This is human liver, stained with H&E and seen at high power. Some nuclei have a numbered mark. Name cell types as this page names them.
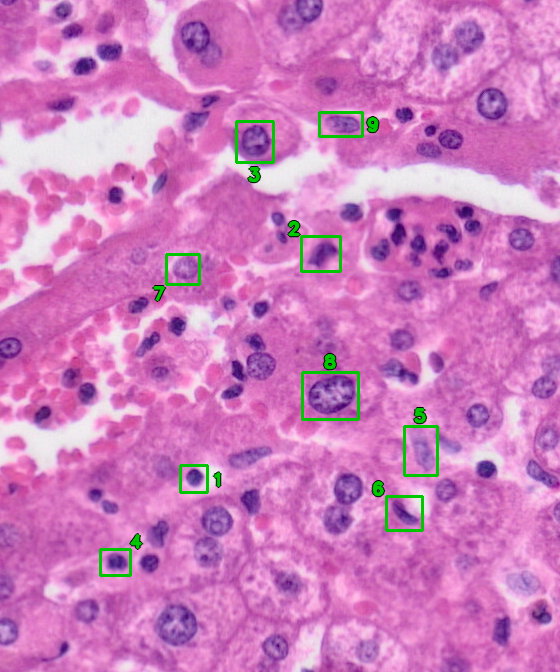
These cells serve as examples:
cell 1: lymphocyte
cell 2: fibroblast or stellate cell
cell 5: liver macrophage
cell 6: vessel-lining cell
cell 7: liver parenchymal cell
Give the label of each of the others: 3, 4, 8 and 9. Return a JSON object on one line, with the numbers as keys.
{"3": "liver parenchymal cell", "4": "lymphocyte", "8": "liver parenchymal cell", "9": "liver macrophage"}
